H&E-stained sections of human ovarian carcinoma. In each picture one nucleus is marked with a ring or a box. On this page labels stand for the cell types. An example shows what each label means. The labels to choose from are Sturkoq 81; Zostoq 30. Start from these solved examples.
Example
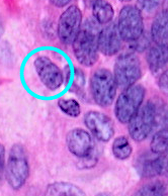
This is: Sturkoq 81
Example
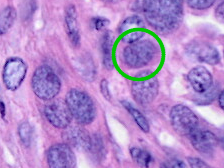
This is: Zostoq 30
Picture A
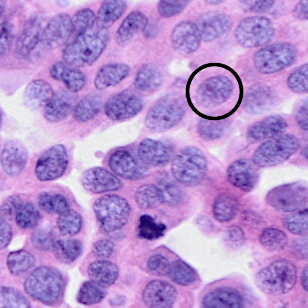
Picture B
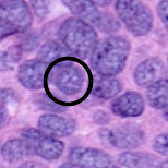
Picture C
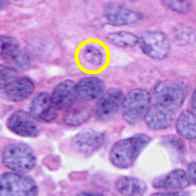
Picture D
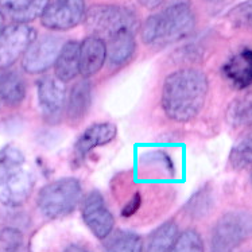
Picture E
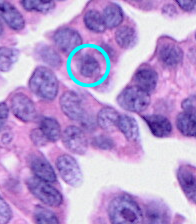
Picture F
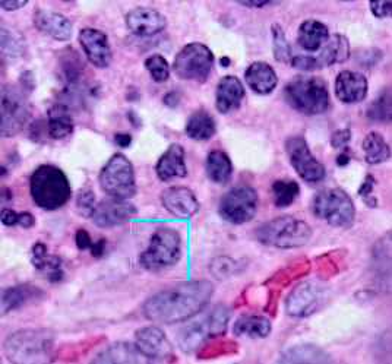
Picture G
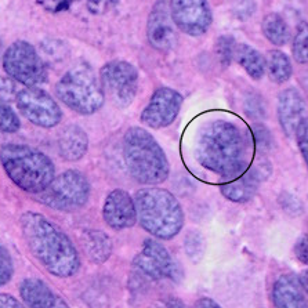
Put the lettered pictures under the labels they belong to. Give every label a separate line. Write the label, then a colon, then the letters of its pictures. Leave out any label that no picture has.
Sturkoq 81: C, D, F
Zostoq 30: A, B, E, G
